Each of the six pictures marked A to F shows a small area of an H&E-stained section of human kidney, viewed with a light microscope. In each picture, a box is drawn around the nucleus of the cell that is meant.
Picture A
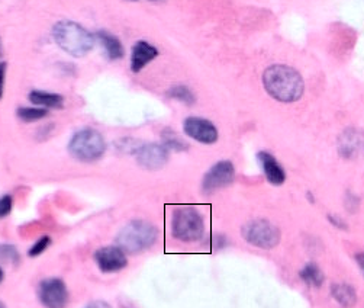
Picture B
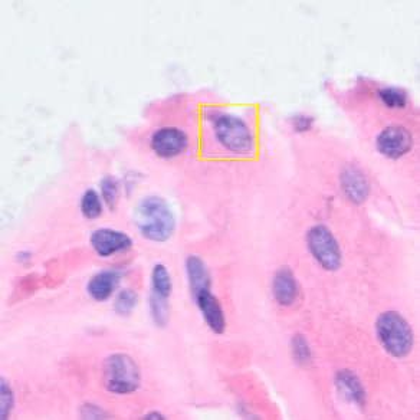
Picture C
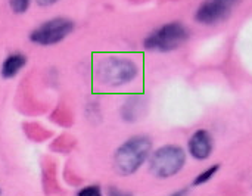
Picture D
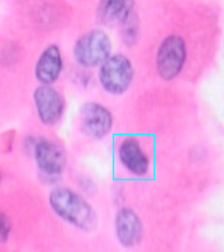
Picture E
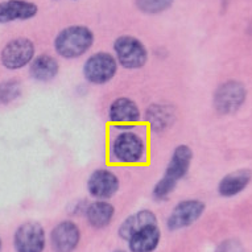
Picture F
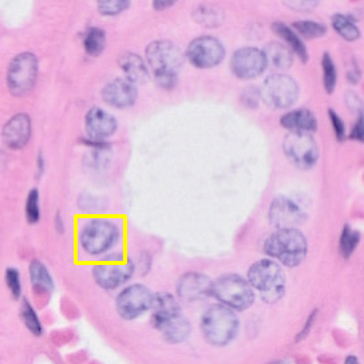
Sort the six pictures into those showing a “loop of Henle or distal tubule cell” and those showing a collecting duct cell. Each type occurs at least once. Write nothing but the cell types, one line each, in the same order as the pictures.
loop of Henle or distal tubule cell
loop of Henle or distal tubule cell
collecting duct cell
collecting duct cell
collecting duct cell
collecting duct cell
